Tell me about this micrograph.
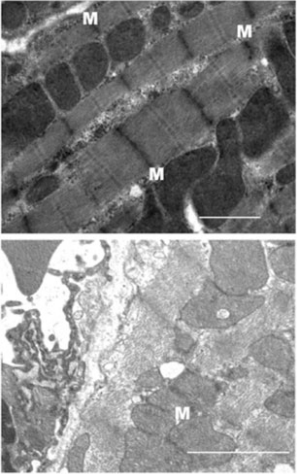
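These are electron micrographs of cardiomyocytes with mitochondria lying between striated myofibrils. In the upper image, dark mitochondria of irregular size and shape sit in rows beside the cross-striated myofibrils. In the lower image, rounded mitochondria with cristae occupy part of the field. Beside them lies a pale region containing folded membranes.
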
